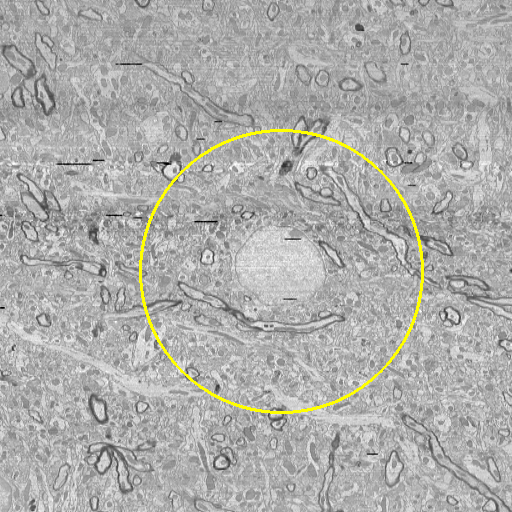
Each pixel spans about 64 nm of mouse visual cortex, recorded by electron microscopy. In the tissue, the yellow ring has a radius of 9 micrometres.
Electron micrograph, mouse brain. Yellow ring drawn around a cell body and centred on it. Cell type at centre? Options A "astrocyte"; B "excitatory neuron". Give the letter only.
A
